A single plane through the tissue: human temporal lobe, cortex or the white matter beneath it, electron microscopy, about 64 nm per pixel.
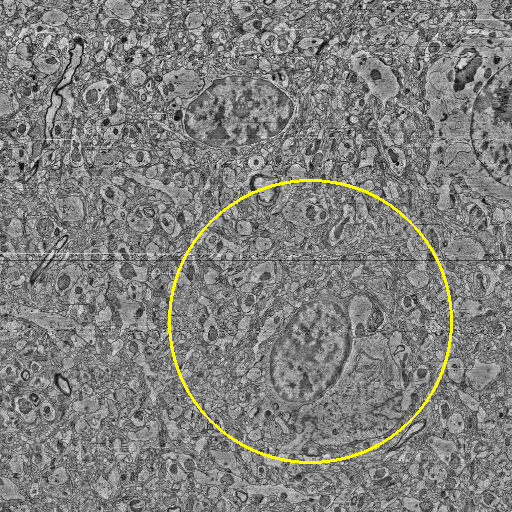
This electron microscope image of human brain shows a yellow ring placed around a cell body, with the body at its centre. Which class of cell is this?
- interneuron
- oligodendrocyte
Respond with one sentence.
The cell body at the ring's centre is an oligodendrocyte.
